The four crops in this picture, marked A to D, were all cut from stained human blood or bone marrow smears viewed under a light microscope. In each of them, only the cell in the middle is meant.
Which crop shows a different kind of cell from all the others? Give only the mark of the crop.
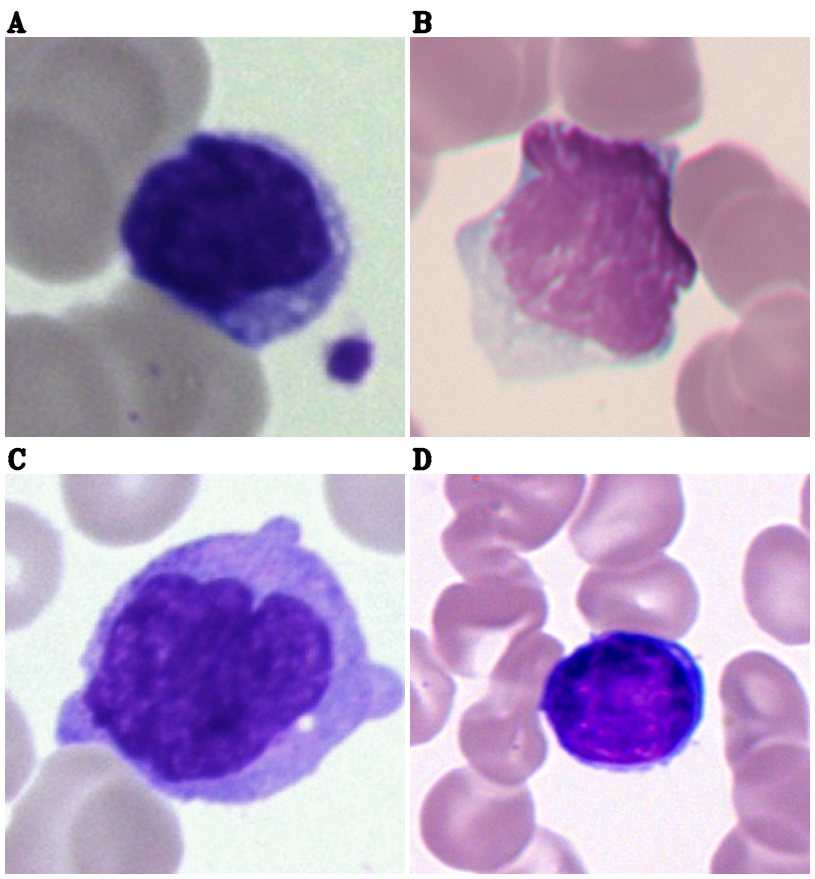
C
